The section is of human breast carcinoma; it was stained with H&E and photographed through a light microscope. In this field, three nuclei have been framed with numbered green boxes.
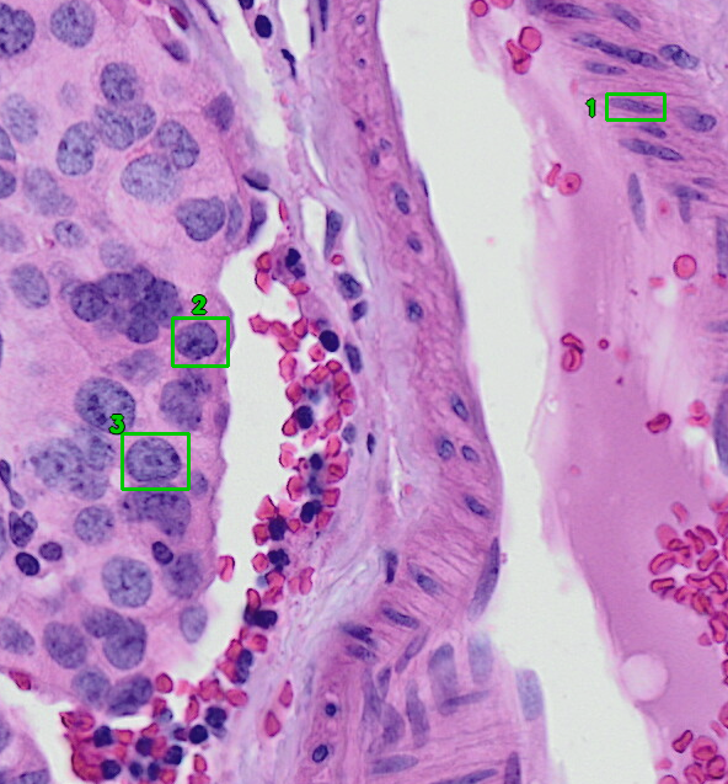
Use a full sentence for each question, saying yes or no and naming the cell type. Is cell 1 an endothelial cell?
Yes, the marked cell numbered 1 is an endothelial cell.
